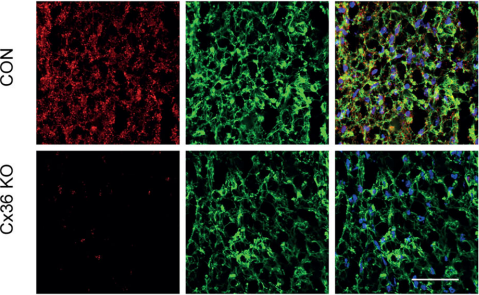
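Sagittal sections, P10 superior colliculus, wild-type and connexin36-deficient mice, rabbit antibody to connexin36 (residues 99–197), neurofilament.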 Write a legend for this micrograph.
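In the top row fine red puncta are spread throughout the neuropil. In the bottom row the green meshwork and nuclei look alike, but red puncta are almost absent.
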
